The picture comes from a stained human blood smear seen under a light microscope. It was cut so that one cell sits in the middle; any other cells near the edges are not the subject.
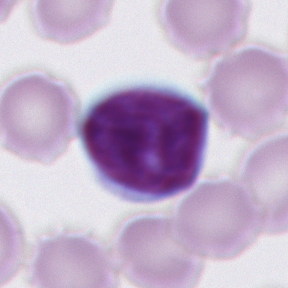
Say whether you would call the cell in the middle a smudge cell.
no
